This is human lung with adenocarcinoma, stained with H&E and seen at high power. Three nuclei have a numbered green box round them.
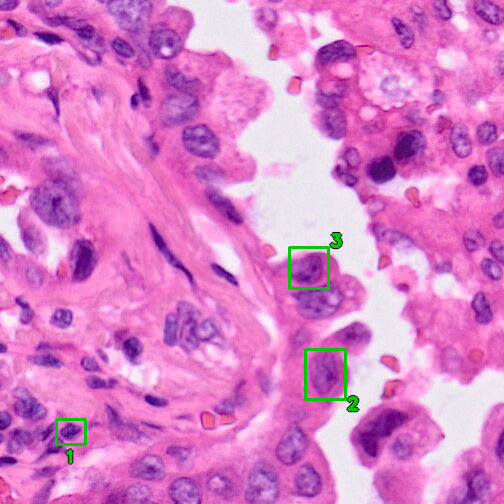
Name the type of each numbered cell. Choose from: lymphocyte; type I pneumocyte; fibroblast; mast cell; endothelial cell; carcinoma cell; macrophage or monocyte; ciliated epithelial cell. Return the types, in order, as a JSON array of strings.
["lymphocyte", "carcinoma cell", "carcinoma cell"]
